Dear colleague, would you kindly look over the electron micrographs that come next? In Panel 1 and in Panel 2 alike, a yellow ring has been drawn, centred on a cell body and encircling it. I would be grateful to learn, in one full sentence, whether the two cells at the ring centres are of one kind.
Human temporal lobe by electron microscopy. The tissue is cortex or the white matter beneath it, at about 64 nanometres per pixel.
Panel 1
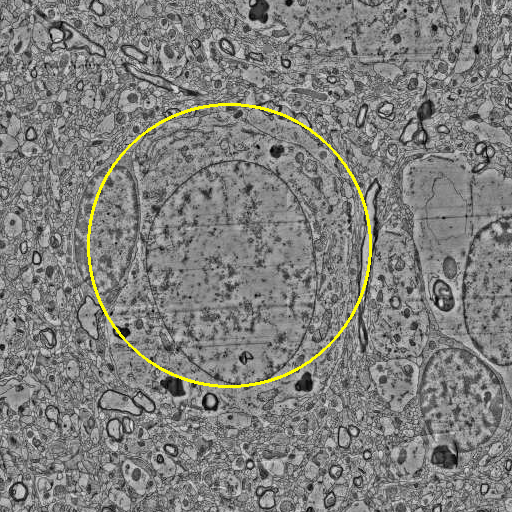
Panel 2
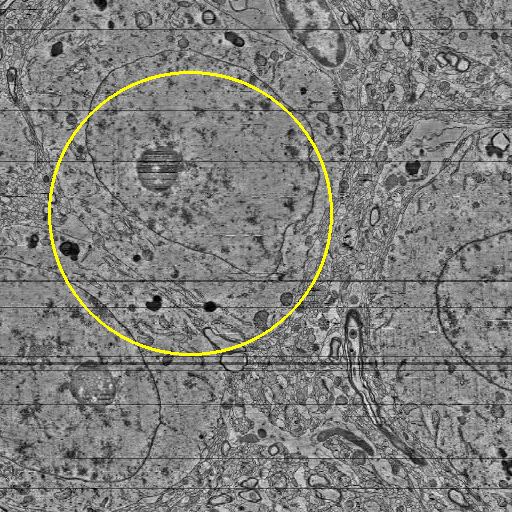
Yes, the cells in the middle of the rings in the two panels are of one kind.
